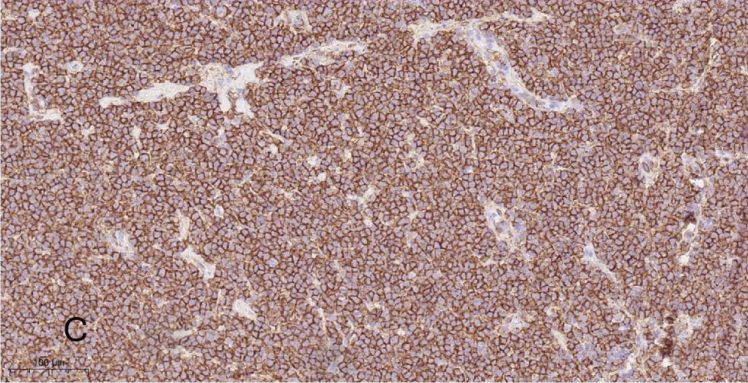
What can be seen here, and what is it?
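The brown colour rims each cell, giving a honeycomb-like pattern of closely packed round cells. The nuclei within are pale bluish and small to medium in size. Thin unstained, branching channels of vessels and stroma wind between the sheets of stained cells.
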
